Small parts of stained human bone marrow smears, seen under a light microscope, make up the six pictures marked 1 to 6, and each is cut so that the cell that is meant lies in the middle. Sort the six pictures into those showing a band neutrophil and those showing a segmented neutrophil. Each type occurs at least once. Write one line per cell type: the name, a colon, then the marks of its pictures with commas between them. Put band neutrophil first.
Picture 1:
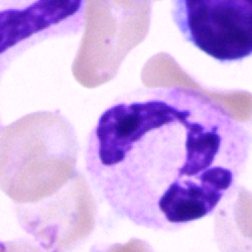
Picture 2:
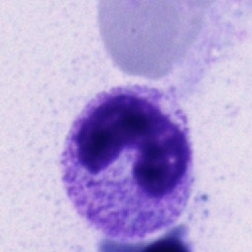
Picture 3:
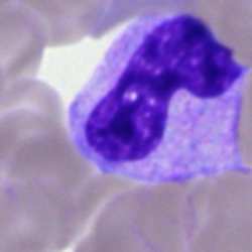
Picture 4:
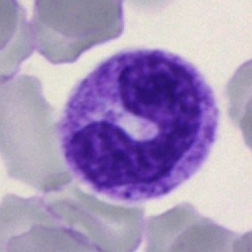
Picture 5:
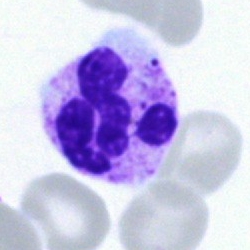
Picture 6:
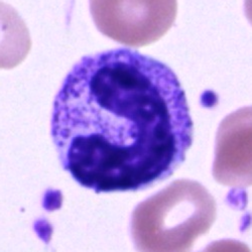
band neutrophil: 2, 3, 4, 6
segmented neutrophil: 1, 5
